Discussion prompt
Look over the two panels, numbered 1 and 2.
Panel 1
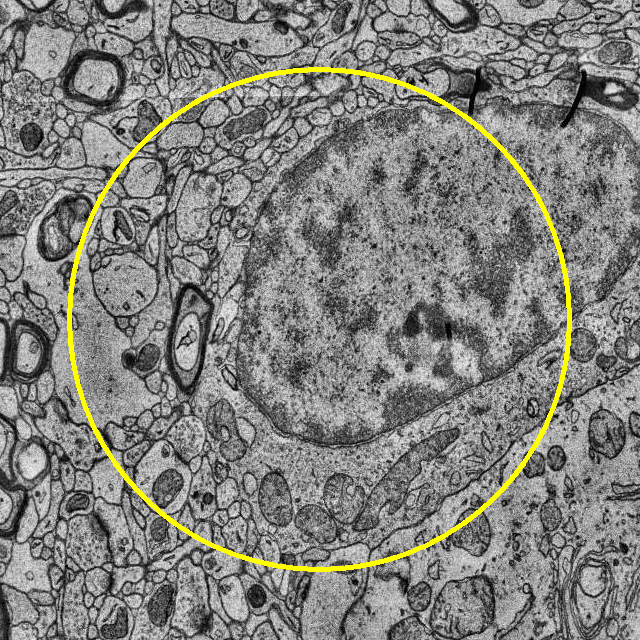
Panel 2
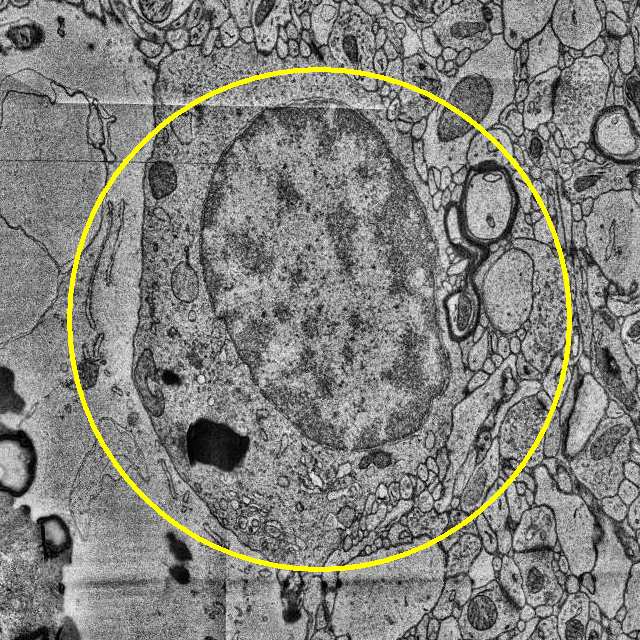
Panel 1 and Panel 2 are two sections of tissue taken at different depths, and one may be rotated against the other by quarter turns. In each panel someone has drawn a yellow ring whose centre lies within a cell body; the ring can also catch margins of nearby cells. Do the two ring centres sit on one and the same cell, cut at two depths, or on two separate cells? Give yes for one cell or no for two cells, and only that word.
no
